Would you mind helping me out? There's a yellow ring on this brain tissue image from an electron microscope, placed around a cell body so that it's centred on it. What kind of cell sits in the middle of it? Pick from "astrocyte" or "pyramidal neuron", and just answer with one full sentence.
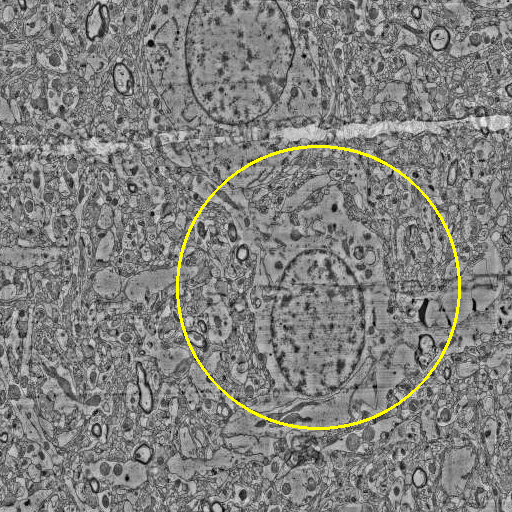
What sits in the middle of that yellow ring is an astrocyte, from your choices.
